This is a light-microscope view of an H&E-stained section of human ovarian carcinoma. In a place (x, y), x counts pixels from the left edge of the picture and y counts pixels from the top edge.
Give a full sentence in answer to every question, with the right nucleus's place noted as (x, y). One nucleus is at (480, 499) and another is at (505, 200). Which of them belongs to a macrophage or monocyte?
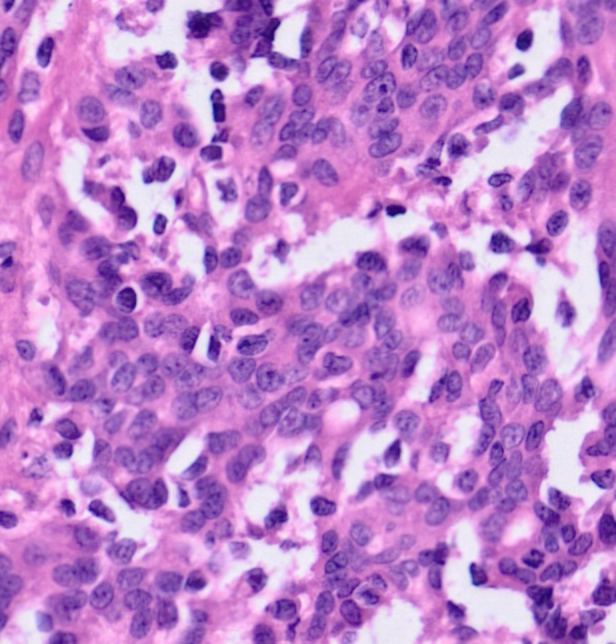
The nucleus situated at (505, 200) is the one belonging to a macrophage or monocyte.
